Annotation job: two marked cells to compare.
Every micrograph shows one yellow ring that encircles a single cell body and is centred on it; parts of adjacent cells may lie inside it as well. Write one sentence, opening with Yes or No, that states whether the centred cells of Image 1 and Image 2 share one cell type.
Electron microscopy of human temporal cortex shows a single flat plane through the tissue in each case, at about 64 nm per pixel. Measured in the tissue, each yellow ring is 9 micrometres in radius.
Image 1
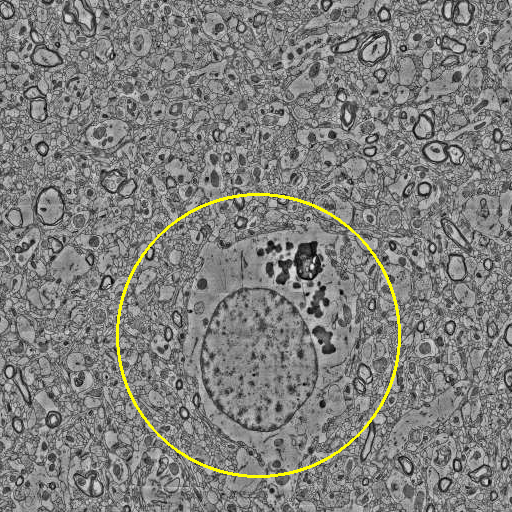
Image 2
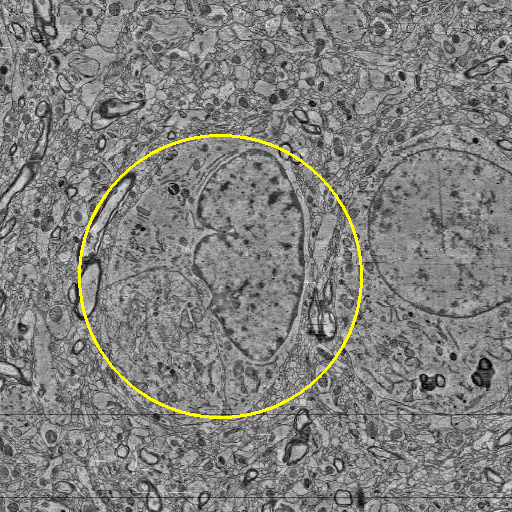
No, the cell centred in Image 1 and the cell centred in Image 2 are of two types.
